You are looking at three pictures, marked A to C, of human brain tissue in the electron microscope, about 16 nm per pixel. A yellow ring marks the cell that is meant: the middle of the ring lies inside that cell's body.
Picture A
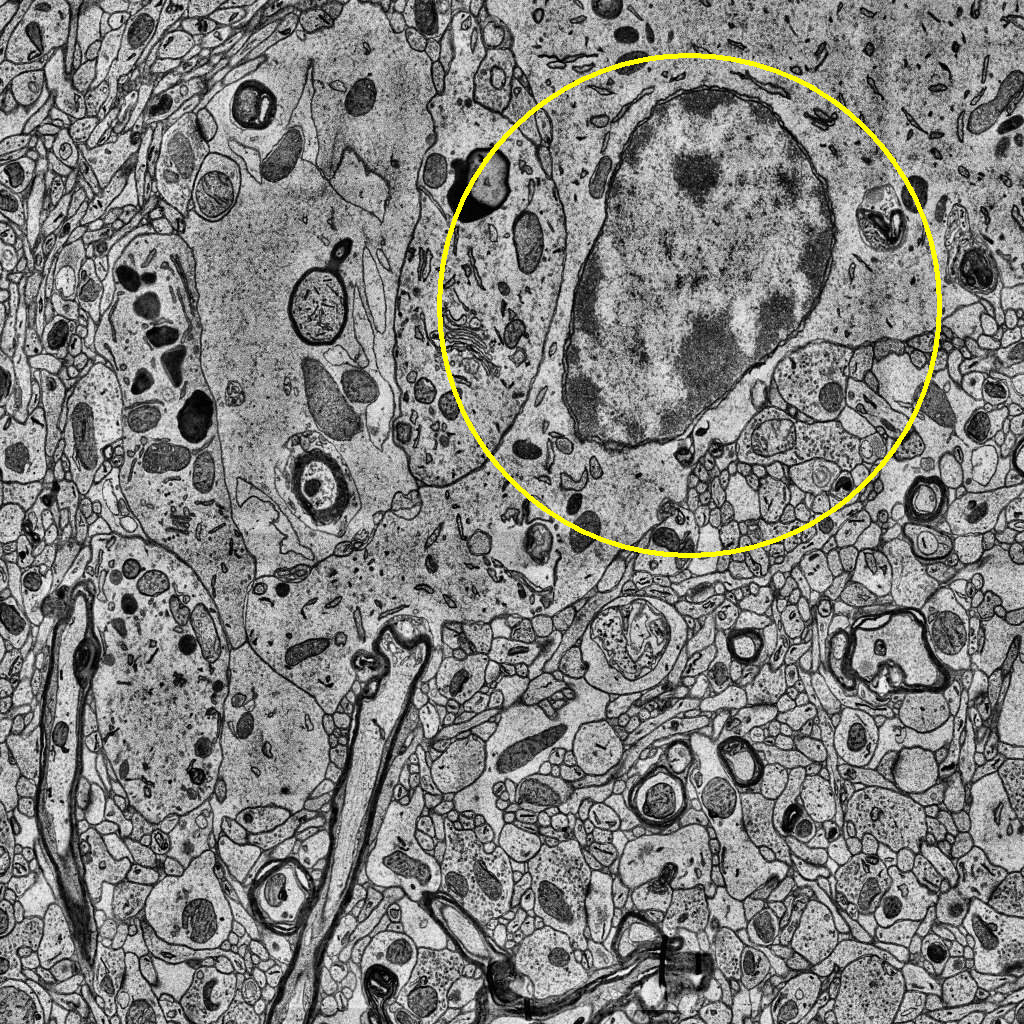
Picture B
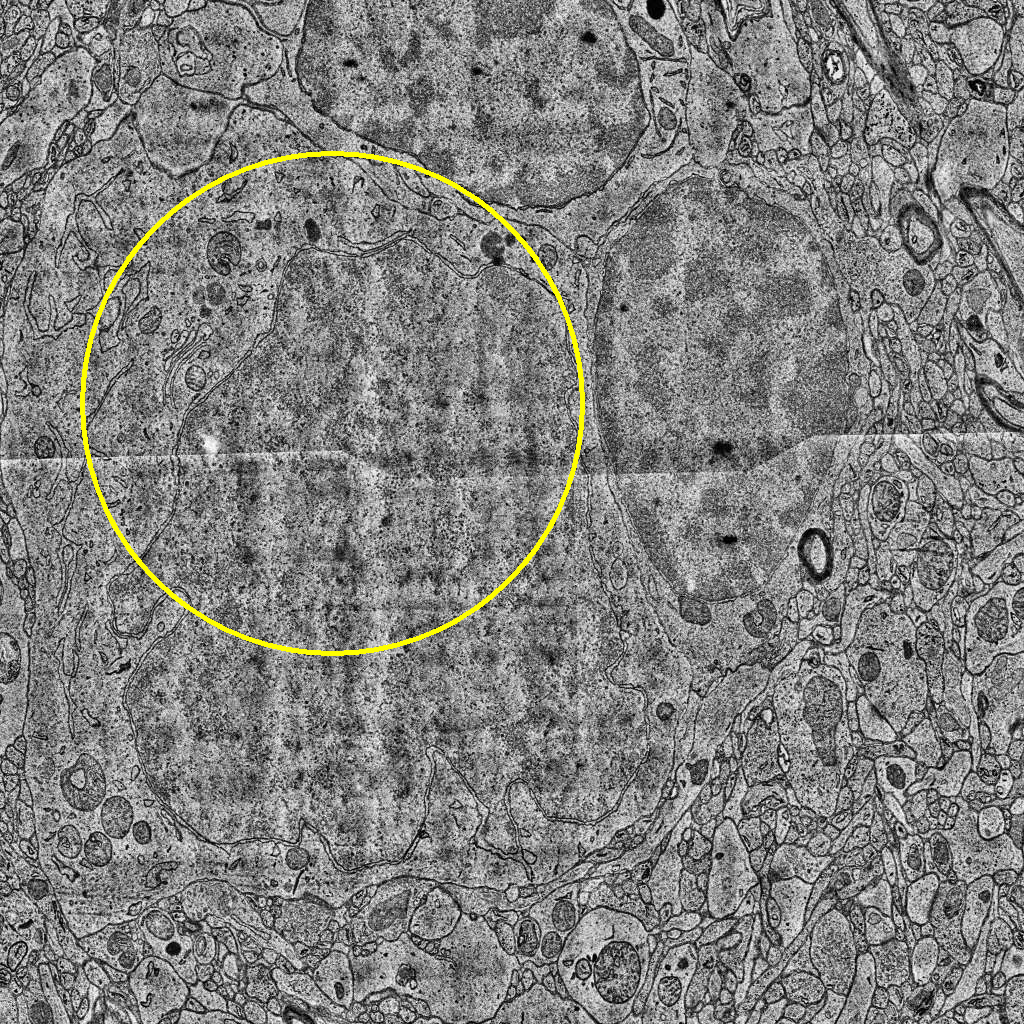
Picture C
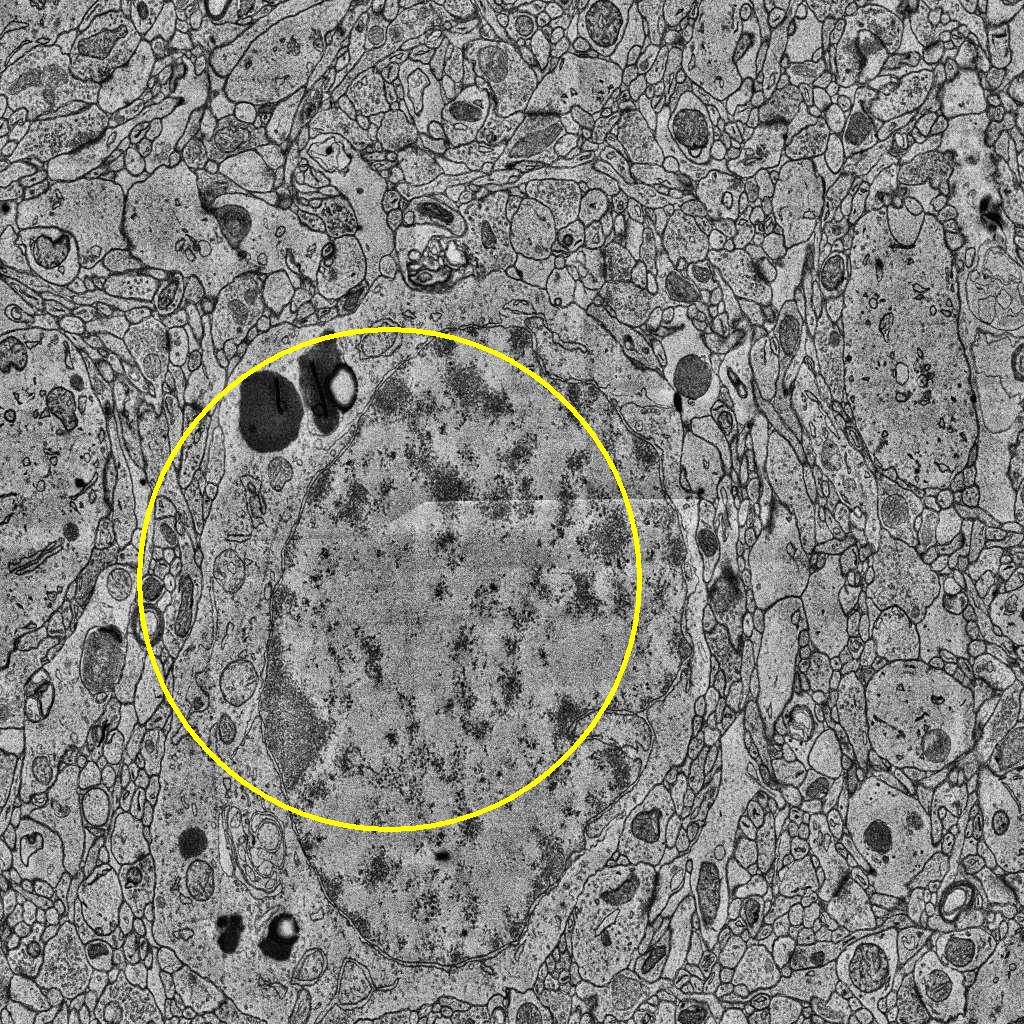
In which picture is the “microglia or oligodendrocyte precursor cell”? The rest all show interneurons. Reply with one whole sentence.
It is picture A that shows the “microglia or oligodendrocyte precursor cell”.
